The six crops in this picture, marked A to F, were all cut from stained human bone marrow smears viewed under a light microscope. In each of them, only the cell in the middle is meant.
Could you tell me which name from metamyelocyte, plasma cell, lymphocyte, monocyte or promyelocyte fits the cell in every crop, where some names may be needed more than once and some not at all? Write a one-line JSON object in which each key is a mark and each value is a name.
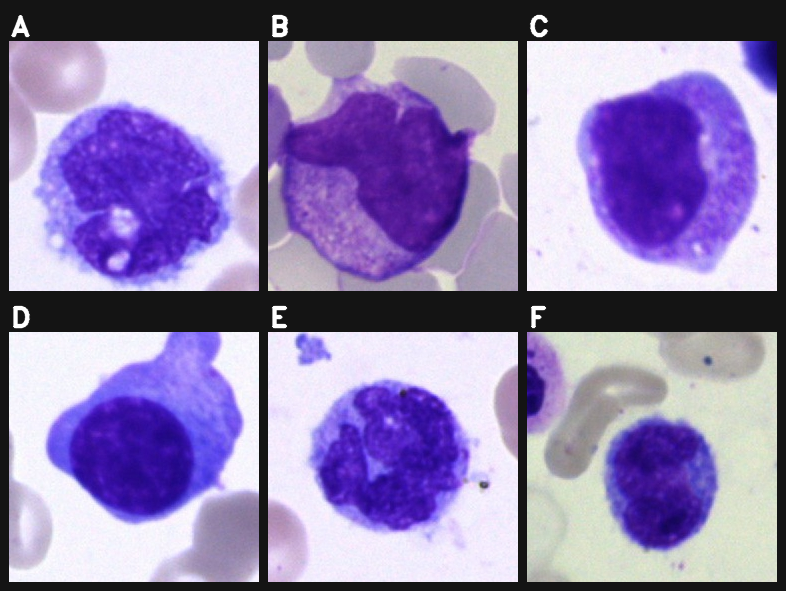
{"A": "monocyte", "B": "monocyte", "C": "promyelocyte", "D": "plasma cell", "E": "monocyte", "F": "monocyte"}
